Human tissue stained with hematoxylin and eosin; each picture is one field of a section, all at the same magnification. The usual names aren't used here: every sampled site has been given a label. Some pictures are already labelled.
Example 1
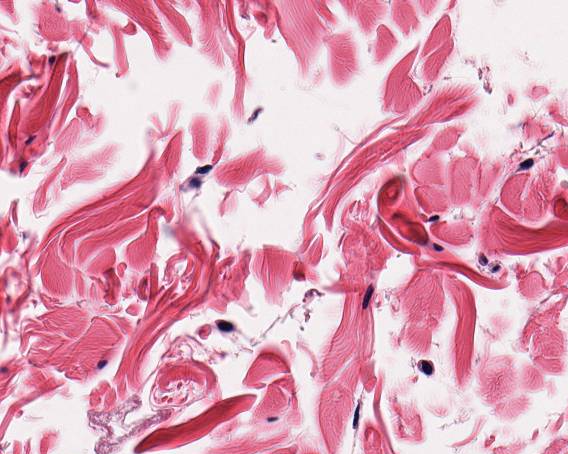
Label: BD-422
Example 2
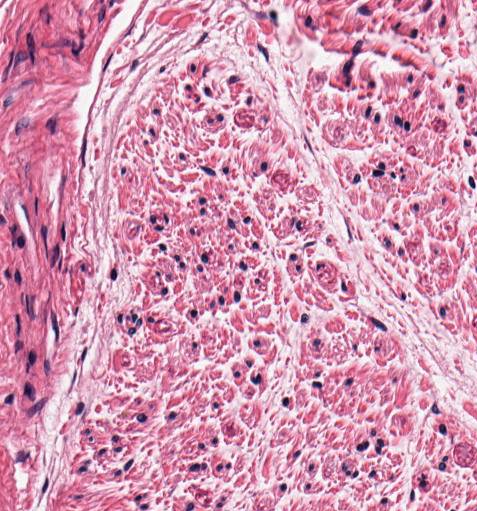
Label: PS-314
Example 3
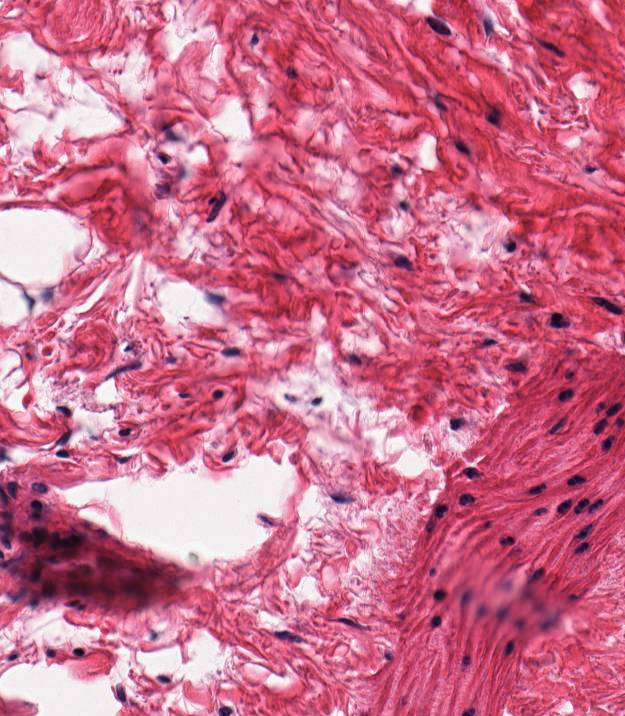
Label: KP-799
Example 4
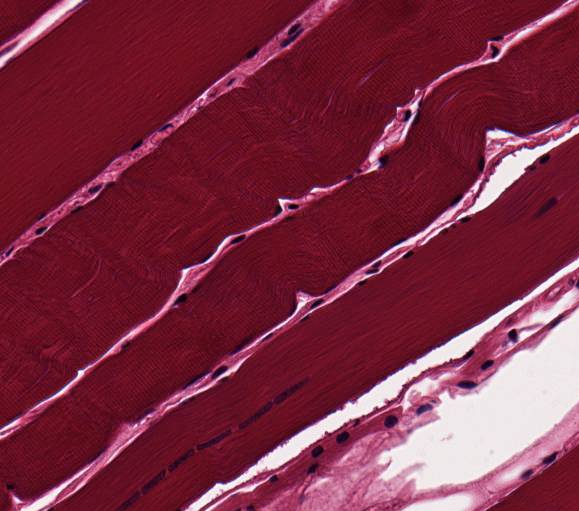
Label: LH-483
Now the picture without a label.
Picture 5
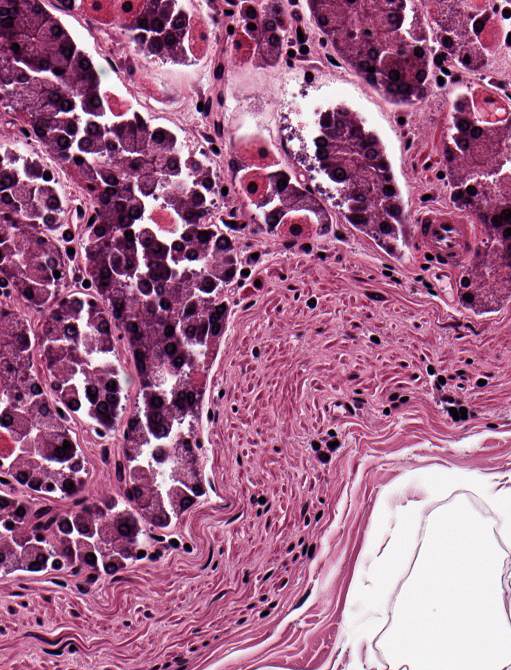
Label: BD-422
